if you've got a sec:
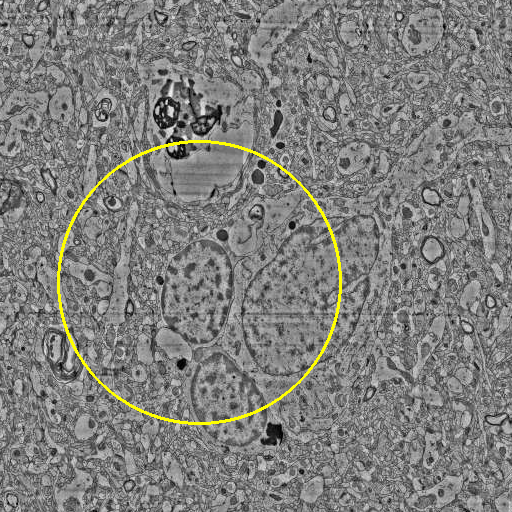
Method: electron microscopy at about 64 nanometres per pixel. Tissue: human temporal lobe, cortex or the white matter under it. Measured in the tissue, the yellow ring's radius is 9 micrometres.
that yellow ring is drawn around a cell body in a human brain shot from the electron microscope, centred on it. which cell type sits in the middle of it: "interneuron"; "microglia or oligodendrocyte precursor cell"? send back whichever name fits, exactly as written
microglia or oligodendrocyte precursor cell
